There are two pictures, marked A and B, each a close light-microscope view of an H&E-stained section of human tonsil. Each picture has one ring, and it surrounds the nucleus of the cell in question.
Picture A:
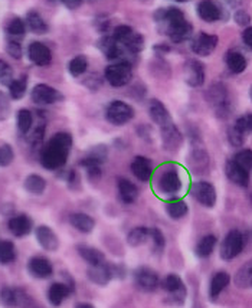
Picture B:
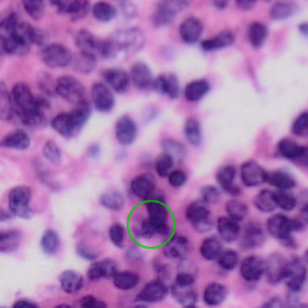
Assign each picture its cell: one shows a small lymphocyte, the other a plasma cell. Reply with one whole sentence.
Picture A is of a plasma cell, and picture B is of a small lymphocyte.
